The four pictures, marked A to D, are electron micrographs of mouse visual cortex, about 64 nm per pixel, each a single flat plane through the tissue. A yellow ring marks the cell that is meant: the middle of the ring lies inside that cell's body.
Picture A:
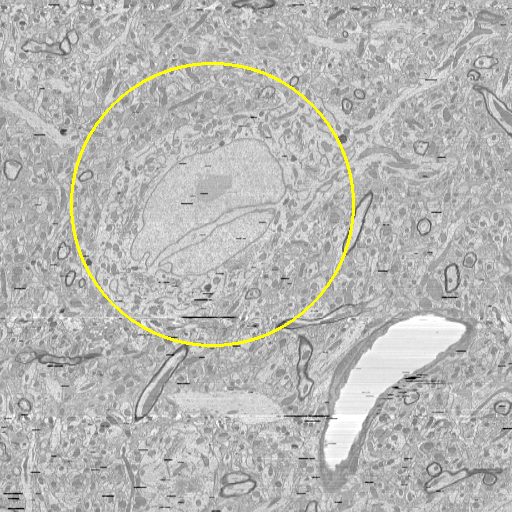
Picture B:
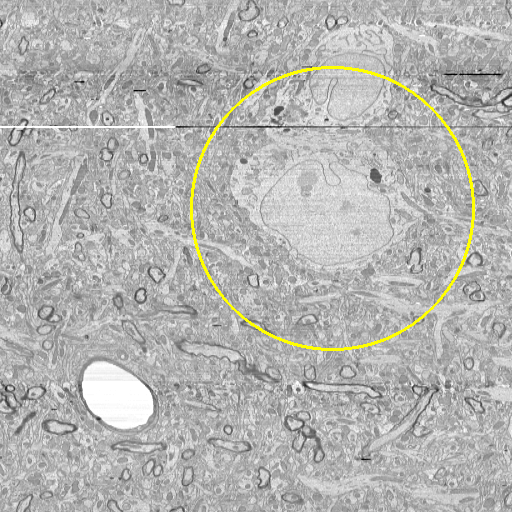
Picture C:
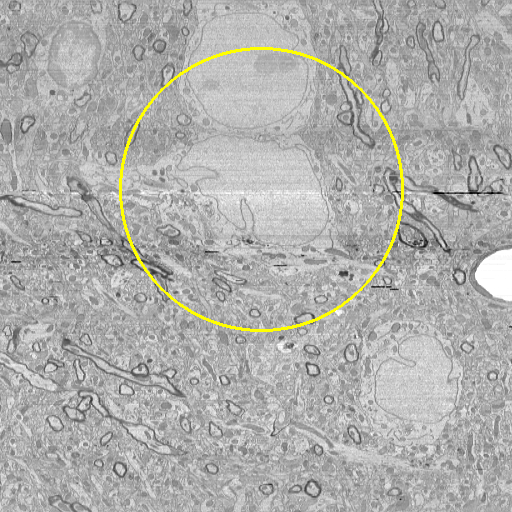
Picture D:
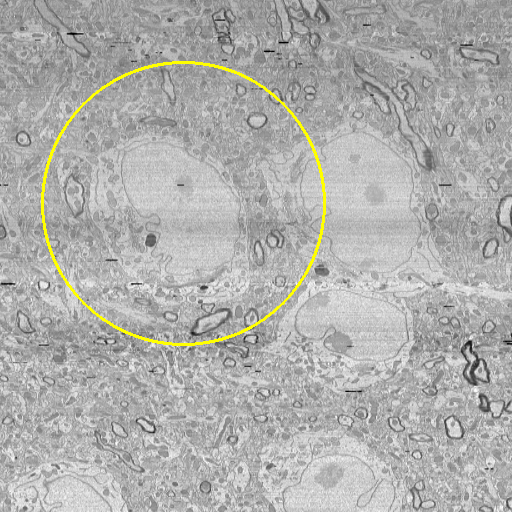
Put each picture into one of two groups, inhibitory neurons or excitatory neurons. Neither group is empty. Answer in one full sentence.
Pictures A and D show inhibitory neurons, and pictures B and C show excitatory neurons.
